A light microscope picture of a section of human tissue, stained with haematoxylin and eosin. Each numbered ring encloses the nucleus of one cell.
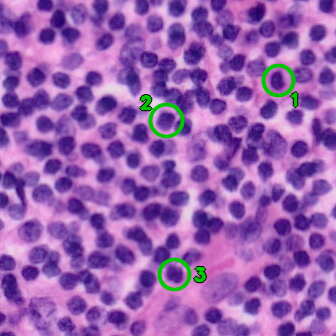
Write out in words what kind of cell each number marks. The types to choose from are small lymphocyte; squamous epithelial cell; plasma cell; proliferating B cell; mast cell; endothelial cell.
Cell 1 is a plasma cell, cell 2 is a small lymphocyte and cell 3 is an endothelial cell.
